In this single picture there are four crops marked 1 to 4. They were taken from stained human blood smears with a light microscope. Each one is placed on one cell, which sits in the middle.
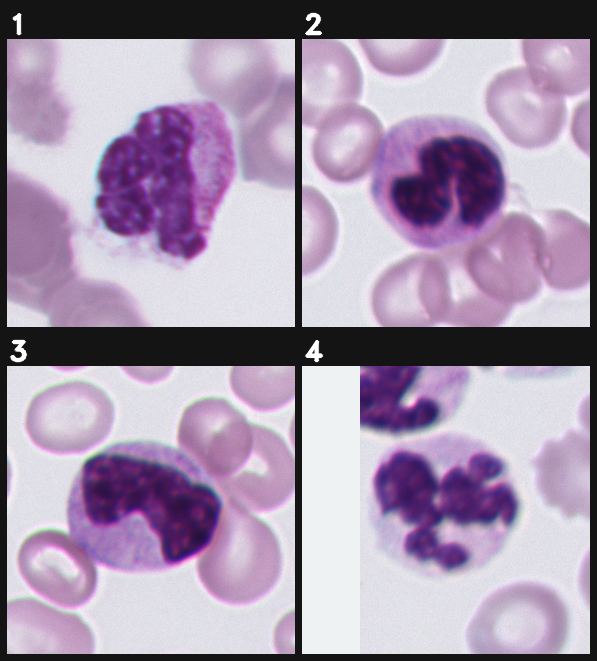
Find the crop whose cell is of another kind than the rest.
3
